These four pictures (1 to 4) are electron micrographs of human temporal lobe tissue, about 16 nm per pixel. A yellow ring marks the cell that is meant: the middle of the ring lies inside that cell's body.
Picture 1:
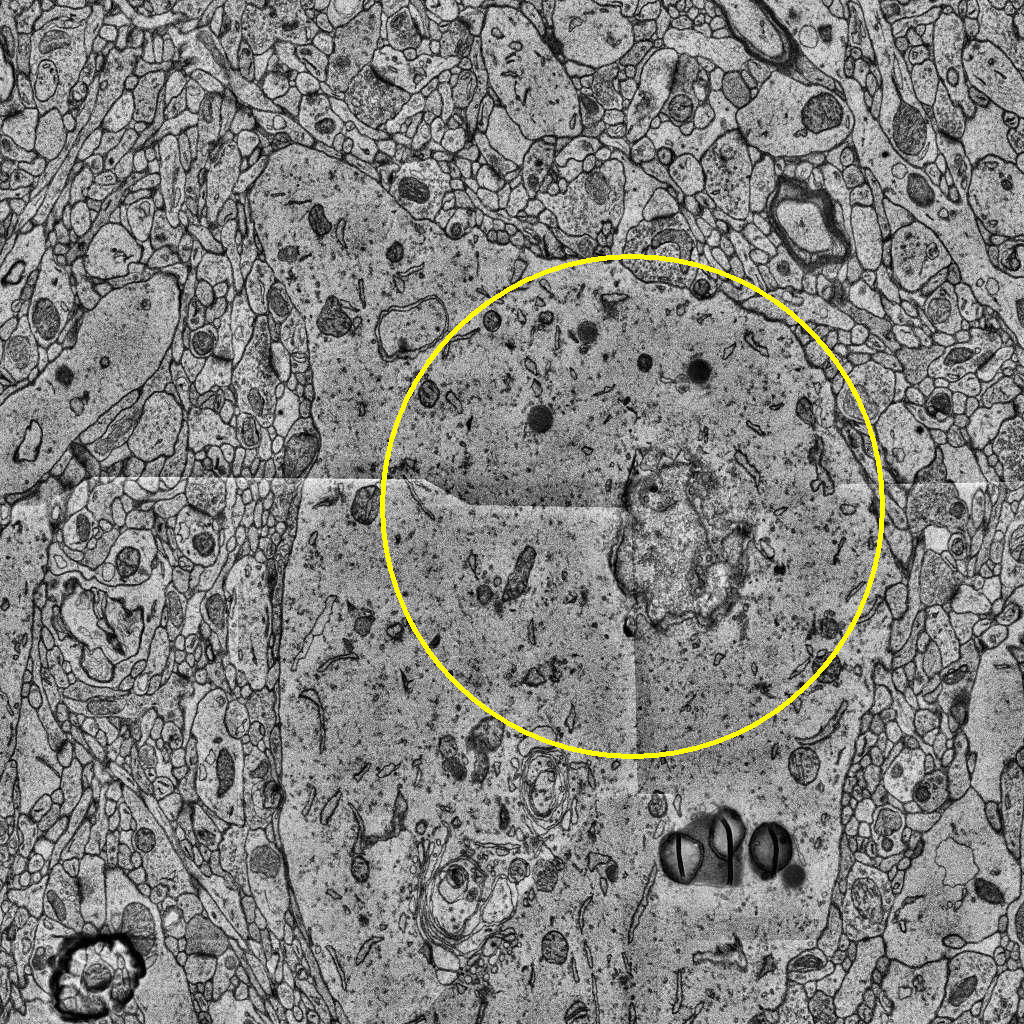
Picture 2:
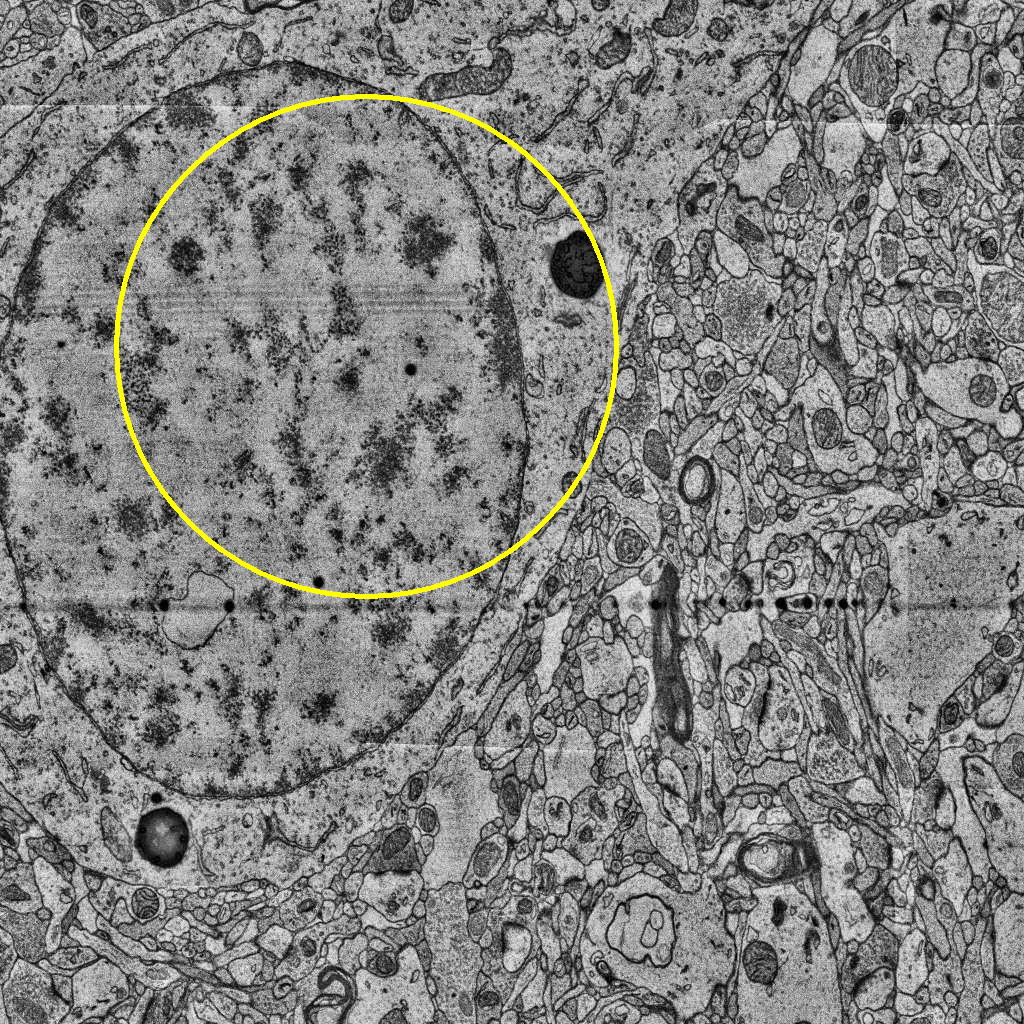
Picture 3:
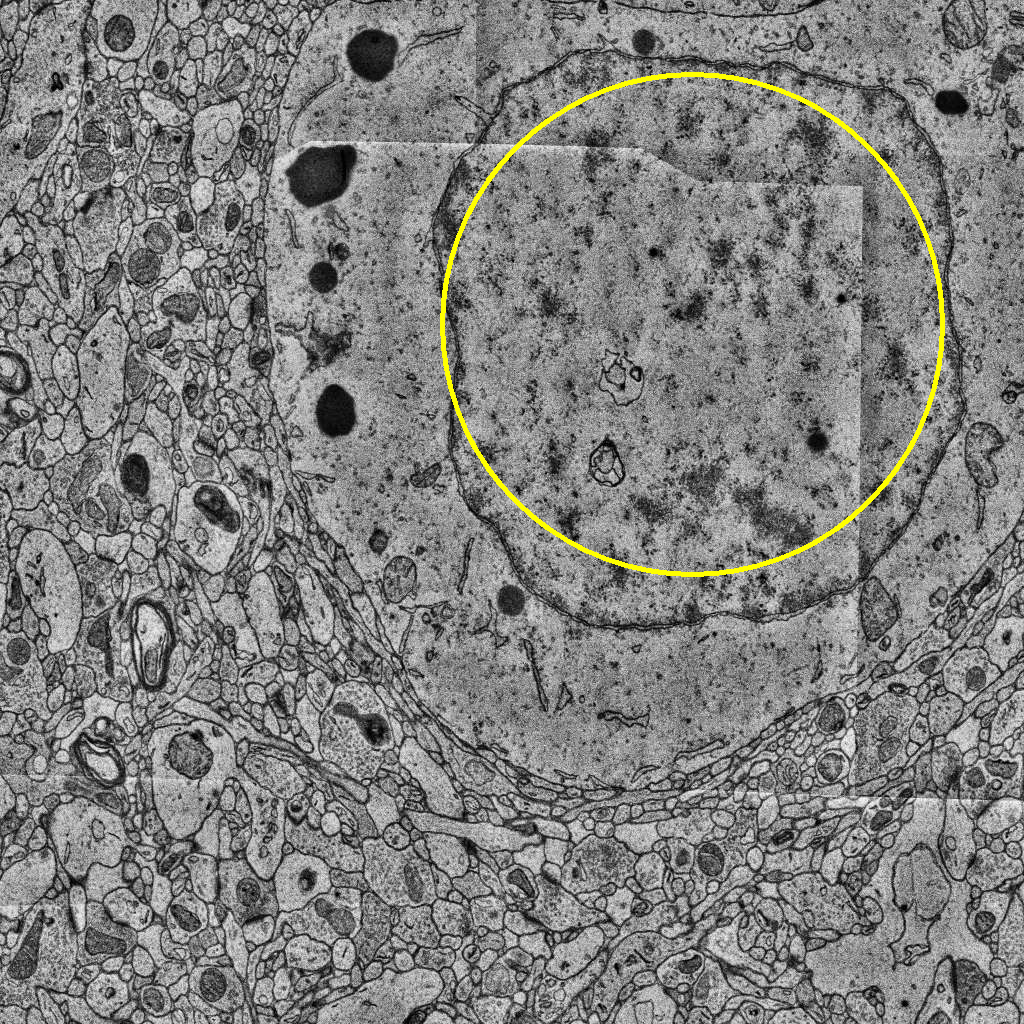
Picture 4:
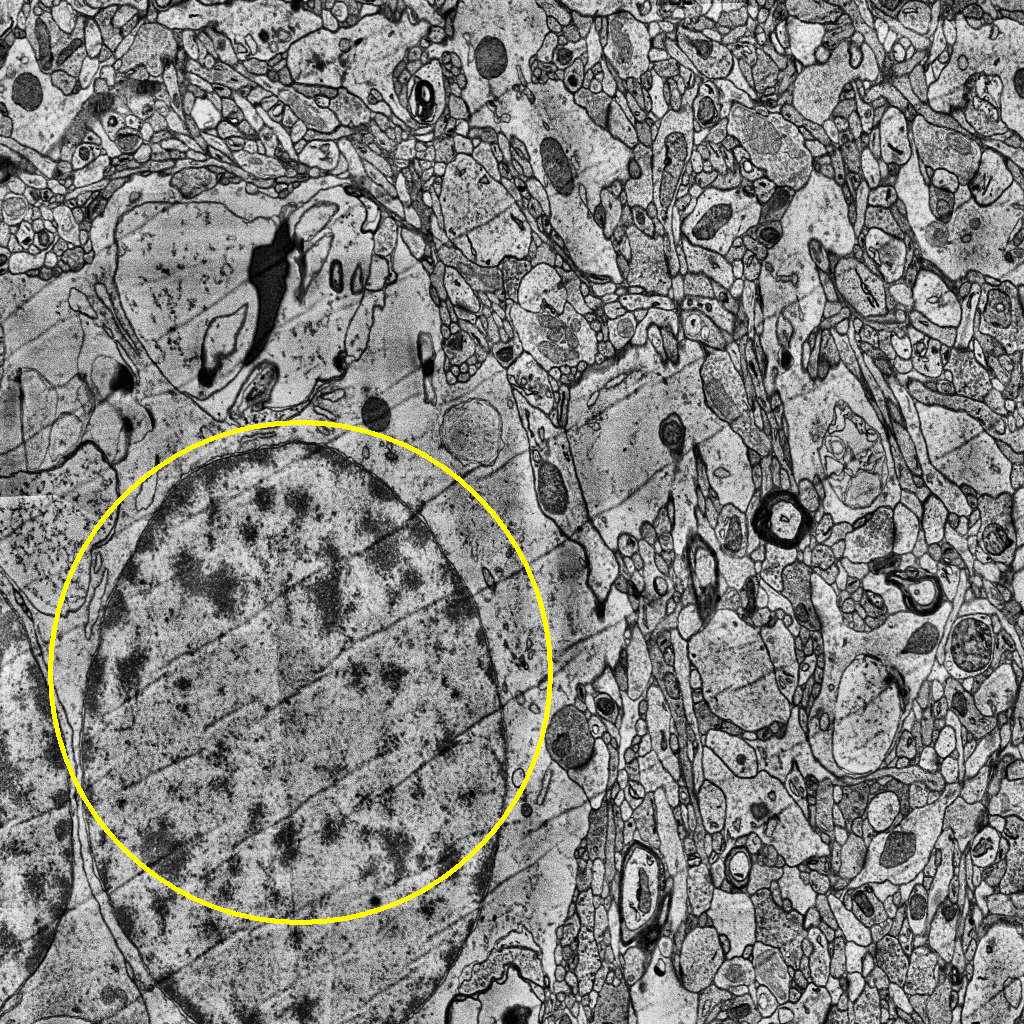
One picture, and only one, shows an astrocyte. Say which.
It is picture 4 that shows the astrocyte.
